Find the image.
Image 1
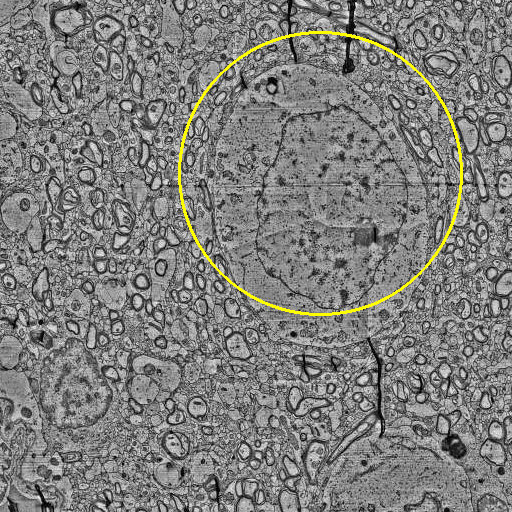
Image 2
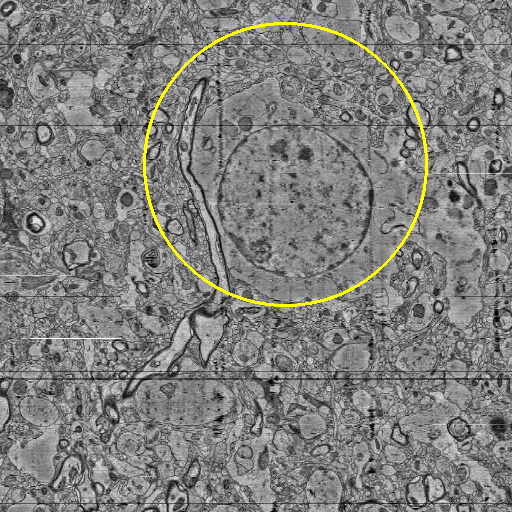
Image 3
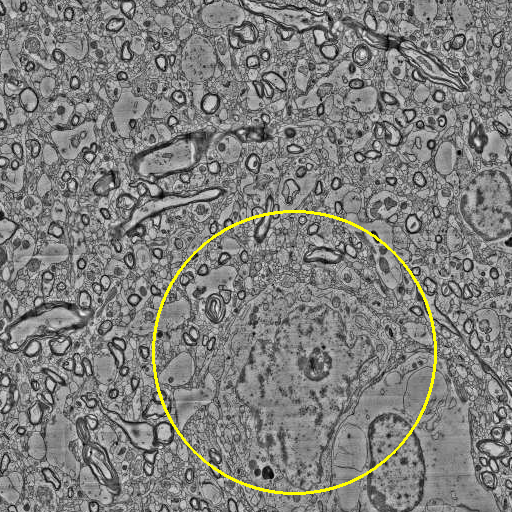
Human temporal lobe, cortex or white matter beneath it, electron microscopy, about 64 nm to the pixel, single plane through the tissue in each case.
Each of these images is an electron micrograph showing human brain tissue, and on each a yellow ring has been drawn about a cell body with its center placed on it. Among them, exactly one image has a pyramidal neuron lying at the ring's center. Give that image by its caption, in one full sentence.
The ring in Image 1 is centered on the cell the question describes.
